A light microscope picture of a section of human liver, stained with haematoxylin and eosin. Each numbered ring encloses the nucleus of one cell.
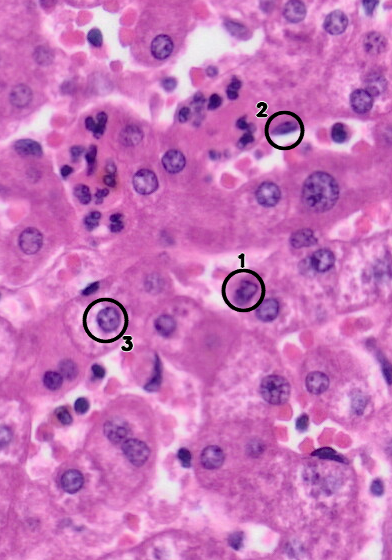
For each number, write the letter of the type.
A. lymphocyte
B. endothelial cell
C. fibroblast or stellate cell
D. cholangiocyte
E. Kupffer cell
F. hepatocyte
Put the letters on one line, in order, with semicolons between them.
E; B; F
